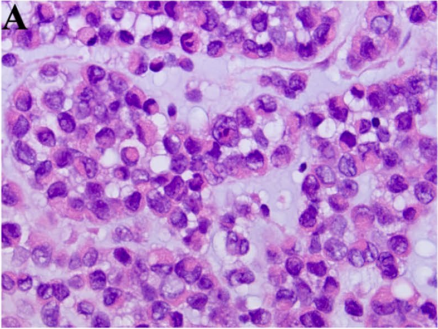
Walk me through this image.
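This is a tumour made of rhabdoid cells lying in groups and sheets set within a pale, loose myxoid stroma. The cells are rounded to polygonal, with a moderate amount of pink cytoplasm, and the nucleus is often pushed to one side. Nuclei are vesicular, with open chromatin and small nucleoli, and they differ clearly in size and shape from cell to cell. Some cells hold clear vacuoles in their cytoplasm, and scattered small dark nuclear fragments lie among them.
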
